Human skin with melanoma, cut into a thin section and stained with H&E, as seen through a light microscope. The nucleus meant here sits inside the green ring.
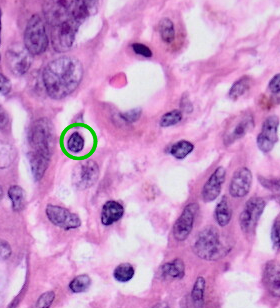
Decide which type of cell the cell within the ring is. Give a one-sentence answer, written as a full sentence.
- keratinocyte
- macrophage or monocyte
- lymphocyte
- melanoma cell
Students should answer that the cell within the ring is a lymphocyte.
